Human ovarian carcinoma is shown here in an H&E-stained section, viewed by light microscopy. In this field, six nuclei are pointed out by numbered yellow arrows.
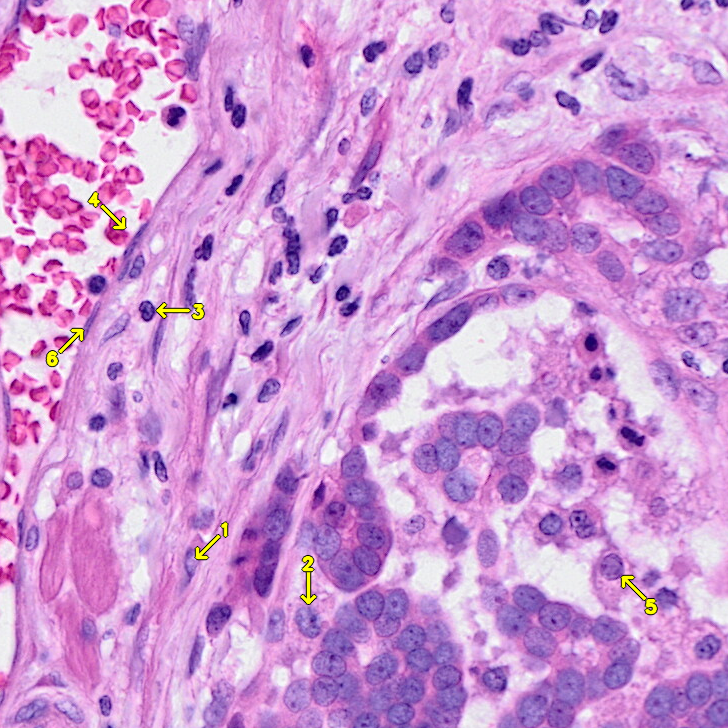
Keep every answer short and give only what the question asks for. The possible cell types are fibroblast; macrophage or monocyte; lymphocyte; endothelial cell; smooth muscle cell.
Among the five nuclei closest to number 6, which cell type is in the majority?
lymphocyte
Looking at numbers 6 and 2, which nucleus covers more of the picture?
2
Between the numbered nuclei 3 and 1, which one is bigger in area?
1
